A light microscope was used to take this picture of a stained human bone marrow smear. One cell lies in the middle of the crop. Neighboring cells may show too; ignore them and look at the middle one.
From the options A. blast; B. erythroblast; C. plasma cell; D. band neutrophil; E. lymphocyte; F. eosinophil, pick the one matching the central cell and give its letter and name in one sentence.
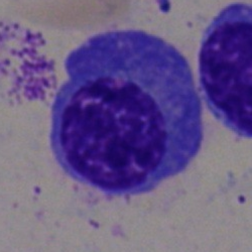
Option C is accurate; the centrally placed cell is a plasma cell.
